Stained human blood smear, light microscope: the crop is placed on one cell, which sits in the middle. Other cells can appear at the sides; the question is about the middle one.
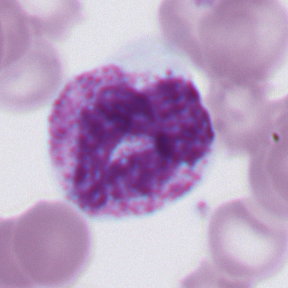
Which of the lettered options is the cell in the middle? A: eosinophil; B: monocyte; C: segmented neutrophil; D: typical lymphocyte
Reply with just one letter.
C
